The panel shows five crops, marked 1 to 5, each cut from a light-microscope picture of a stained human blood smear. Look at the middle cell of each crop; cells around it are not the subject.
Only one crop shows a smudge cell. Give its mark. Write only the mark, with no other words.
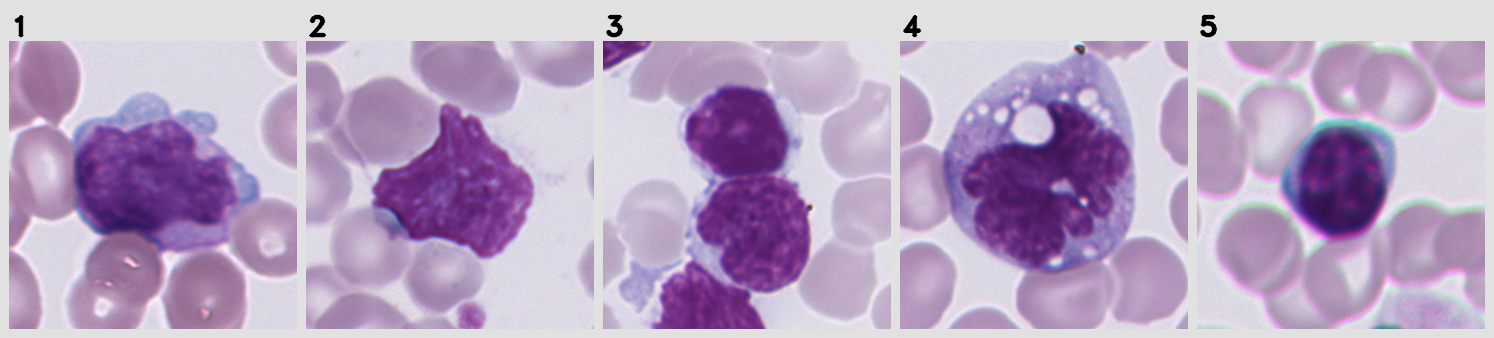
2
